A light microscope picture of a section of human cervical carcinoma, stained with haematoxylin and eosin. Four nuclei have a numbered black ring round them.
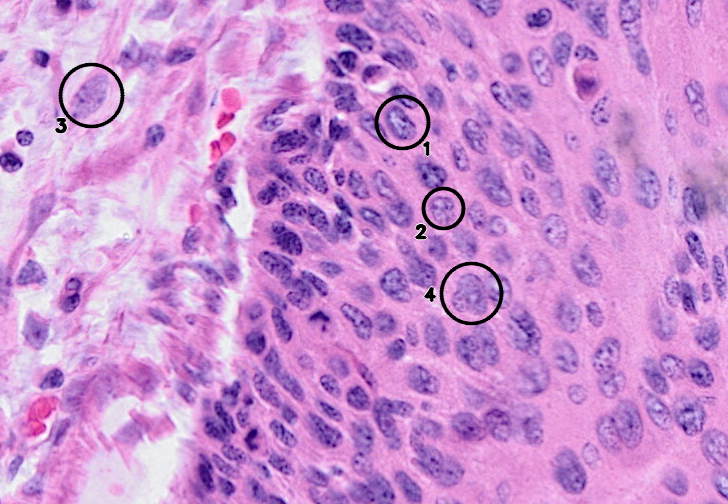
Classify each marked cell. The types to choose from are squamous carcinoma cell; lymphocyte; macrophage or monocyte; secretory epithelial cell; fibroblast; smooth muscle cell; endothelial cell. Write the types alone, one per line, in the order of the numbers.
squamous carcinoma cell
squamous carcinoma cell
fibroblast
squamous carcinoma cell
